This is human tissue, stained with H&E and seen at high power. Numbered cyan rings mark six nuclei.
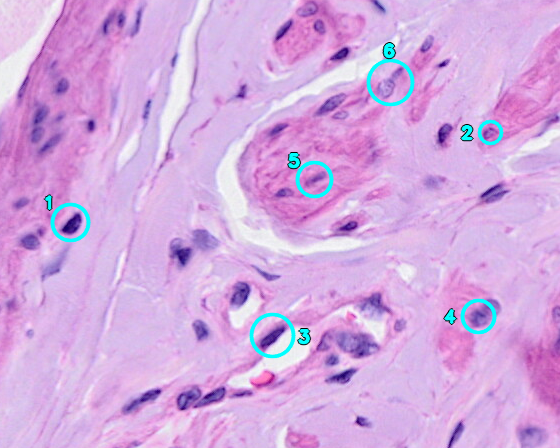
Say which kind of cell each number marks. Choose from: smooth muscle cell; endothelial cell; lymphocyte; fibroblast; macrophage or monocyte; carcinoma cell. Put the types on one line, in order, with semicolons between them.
lymphocyte; smooth muscle cell; endothelial cell; smooth muscle cell; smooth muscle cell; smooth muscle cell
